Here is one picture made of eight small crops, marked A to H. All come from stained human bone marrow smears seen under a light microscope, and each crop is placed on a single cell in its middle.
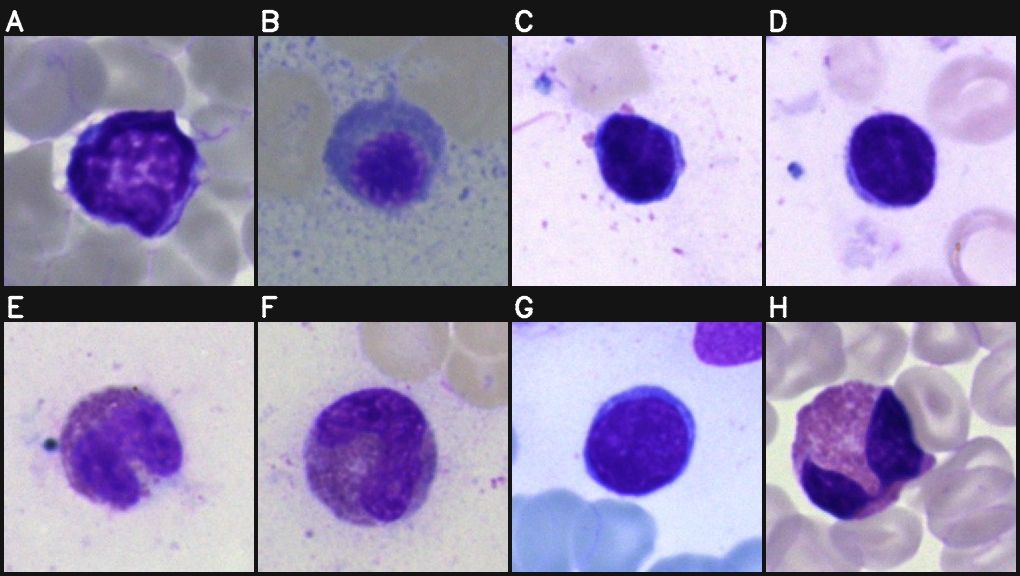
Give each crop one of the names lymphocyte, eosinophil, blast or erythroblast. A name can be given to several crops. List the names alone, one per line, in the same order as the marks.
lymphocyte
erythroblast
lymphocyte
lymphocyte
eosinophil
eosinophil
lymphocyte
eosinophil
